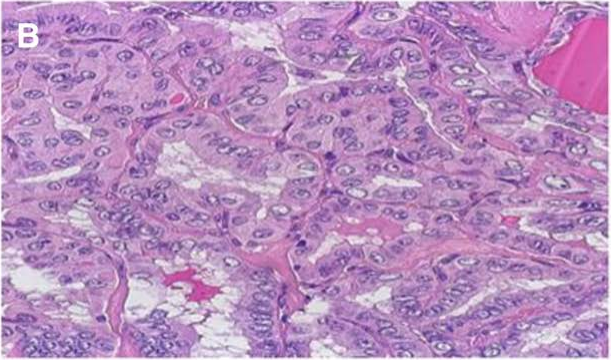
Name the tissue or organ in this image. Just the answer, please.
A: follicular and papillary architecture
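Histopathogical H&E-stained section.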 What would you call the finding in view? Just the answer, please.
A: papillary nuclear features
